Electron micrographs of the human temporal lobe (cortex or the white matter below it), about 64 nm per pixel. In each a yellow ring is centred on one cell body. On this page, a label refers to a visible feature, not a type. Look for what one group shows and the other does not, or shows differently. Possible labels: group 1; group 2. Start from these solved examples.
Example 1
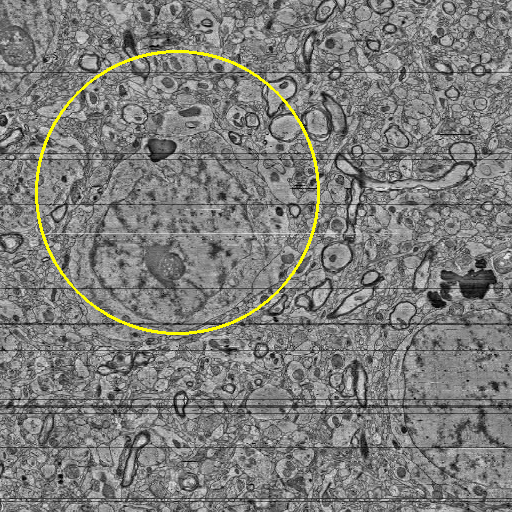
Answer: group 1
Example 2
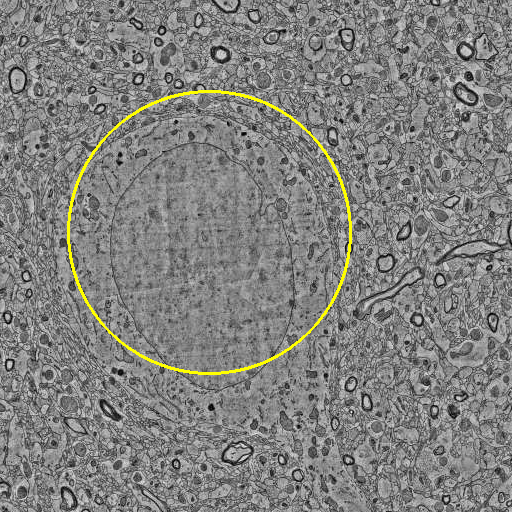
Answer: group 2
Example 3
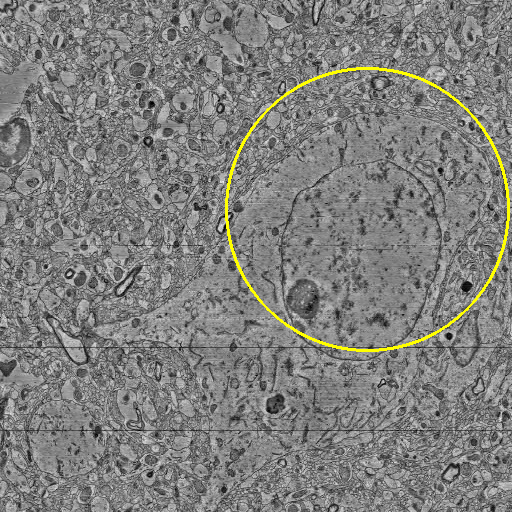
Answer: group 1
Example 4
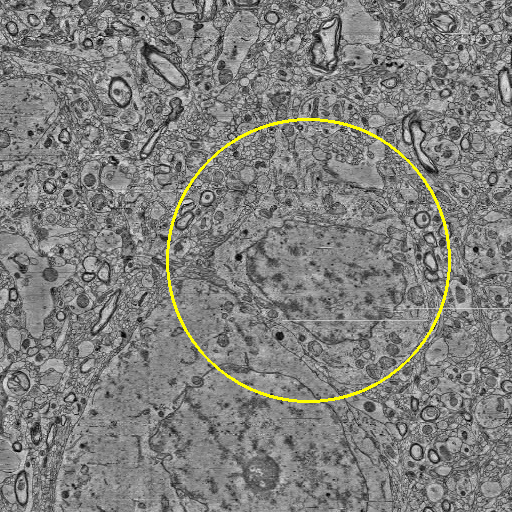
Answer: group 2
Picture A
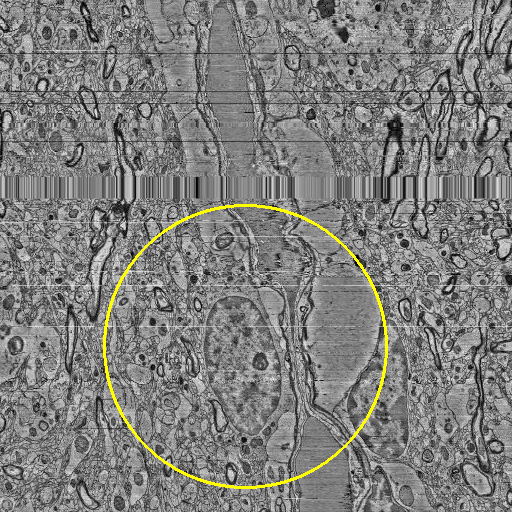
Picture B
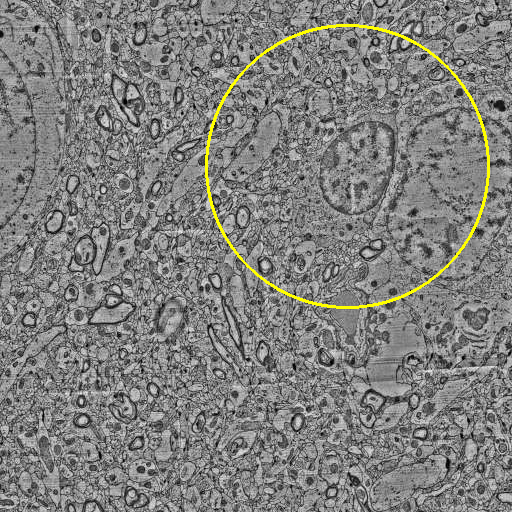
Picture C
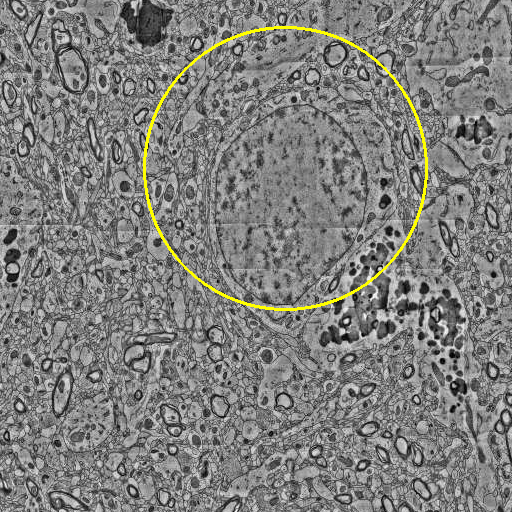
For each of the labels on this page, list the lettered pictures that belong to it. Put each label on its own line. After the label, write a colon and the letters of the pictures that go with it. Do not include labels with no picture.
group 1: A
group 2: B, C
